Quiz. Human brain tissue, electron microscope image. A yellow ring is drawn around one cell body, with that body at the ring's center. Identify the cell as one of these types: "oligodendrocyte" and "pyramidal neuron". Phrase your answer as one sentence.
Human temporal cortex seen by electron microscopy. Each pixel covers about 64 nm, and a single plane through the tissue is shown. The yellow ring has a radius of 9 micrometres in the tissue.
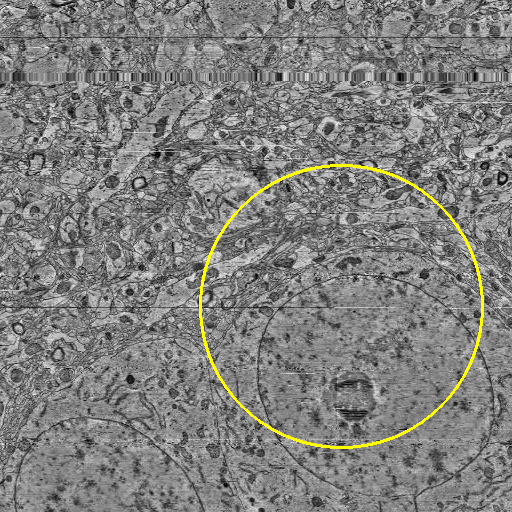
At the center of the ring sits a pyramidal neuron.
